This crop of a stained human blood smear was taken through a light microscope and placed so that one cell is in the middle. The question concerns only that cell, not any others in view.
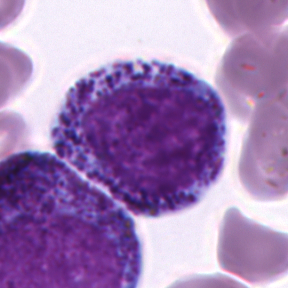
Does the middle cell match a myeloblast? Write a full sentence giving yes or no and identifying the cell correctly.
No, it is not a myeloblast that sits at the centre but a promyelocyte.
